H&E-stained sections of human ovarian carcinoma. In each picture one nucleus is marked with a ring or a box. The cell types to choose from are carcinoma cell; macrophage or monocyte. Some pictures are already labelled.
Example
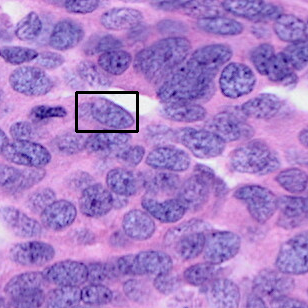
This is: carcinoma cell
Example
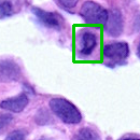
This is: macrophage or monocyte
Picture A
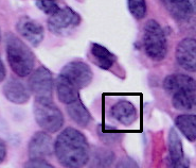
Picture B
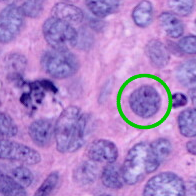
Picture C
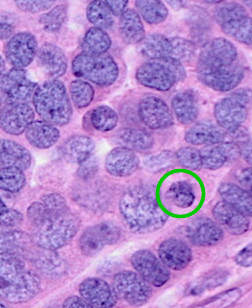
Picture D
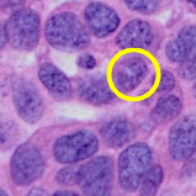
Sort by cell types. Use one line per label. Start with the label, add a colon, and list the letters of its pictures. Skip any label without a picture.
carcinoma cell: B, D
macrophage or monocyte: A, C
